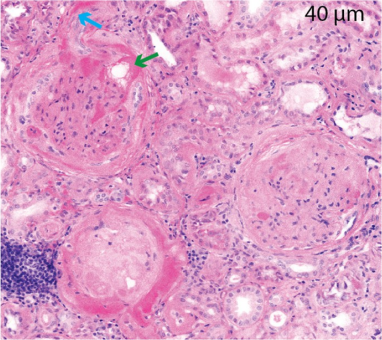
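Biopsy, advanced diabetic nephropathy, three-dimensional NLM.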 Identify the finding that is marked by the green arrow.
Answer: Exudative lesions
